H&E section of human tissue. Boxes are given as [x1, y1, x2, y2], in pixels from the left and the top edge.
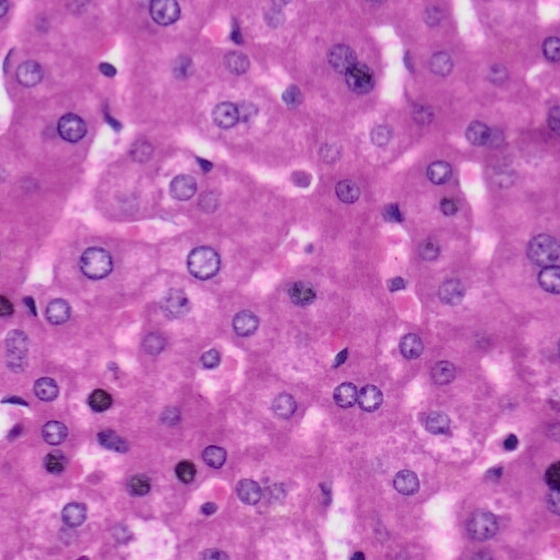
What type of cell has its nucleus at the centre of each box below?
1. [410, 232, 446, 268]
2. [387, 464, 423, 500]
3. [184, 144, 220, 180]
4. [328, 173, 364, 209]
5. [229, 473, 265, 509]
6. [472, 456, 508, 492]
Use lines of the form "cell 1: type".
cell 1: hepatocyte
cell 2: hepatocyte
cell 3: fibroblast or stellate cell
cell 4: hepatocyte
cell 5: hepatocyte
cell 6: Kupffer cell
